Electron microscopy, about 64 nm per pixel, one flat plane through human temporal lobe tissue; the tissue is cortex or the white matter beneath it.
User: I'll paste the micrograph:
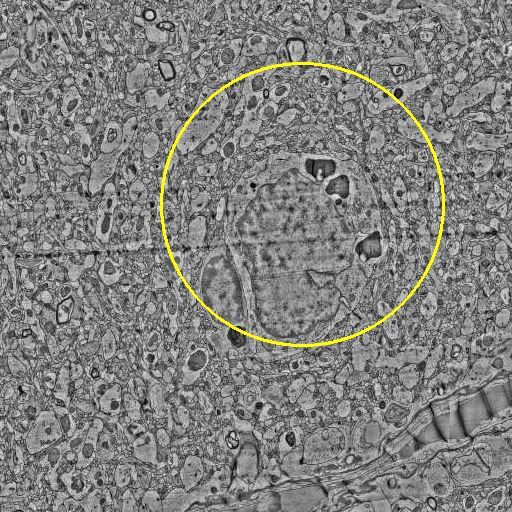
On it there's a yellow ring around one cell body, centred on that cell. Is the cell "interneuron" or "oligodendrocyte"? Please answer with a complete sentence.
The cell ringed in yellow is an interneuron.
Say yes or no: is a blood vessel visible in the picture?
Yes, the image shows a blood vessel.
